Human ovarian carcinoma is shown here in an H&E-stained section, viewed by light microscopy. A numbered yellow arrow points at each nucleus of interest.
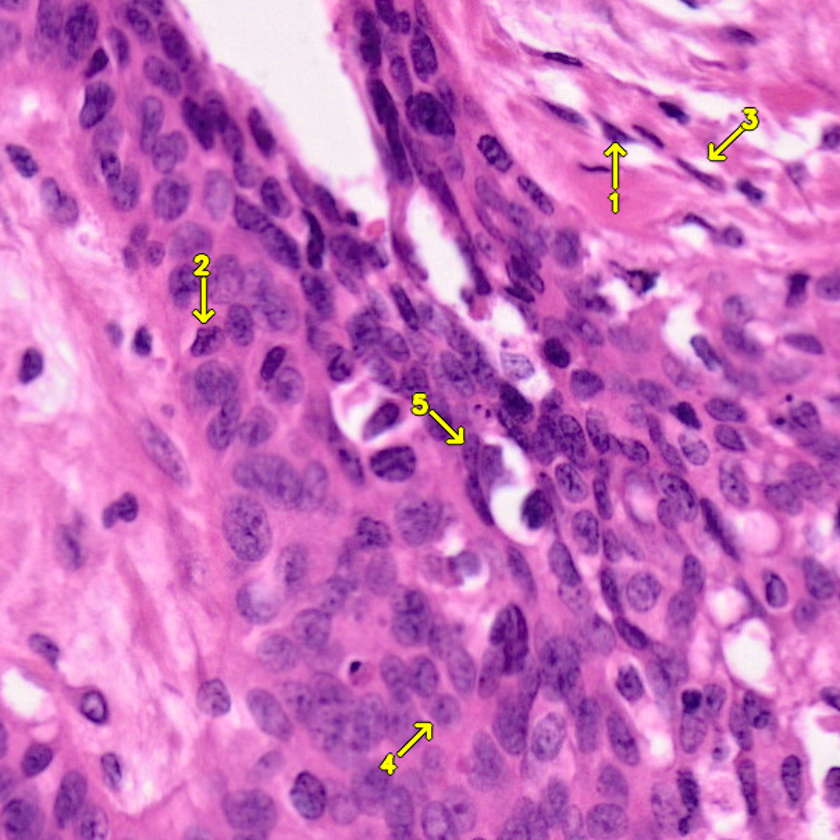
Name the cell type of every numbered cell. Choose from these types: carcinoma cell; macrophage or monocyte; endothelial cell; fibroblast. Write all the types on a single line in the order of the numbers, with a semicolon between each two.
fibroblast; carcinoma cell; fibroblast; carcinoma cell; carcinoma cell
